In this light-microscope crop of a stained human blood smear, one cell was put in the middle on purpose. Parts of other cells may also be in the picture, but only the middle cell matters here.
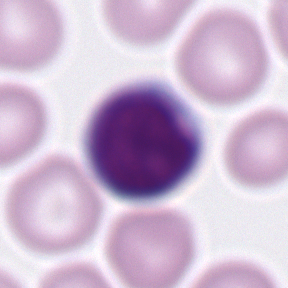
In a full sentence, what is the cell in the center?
The target cell in the middle of the crop is a typical lymphocyte.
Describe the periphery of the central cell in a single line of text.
The border of this cell runs smooth and free of any projections.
